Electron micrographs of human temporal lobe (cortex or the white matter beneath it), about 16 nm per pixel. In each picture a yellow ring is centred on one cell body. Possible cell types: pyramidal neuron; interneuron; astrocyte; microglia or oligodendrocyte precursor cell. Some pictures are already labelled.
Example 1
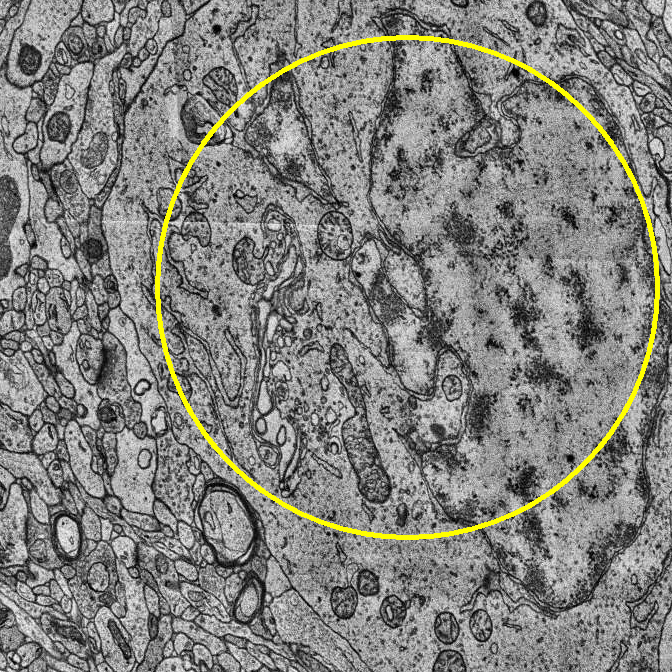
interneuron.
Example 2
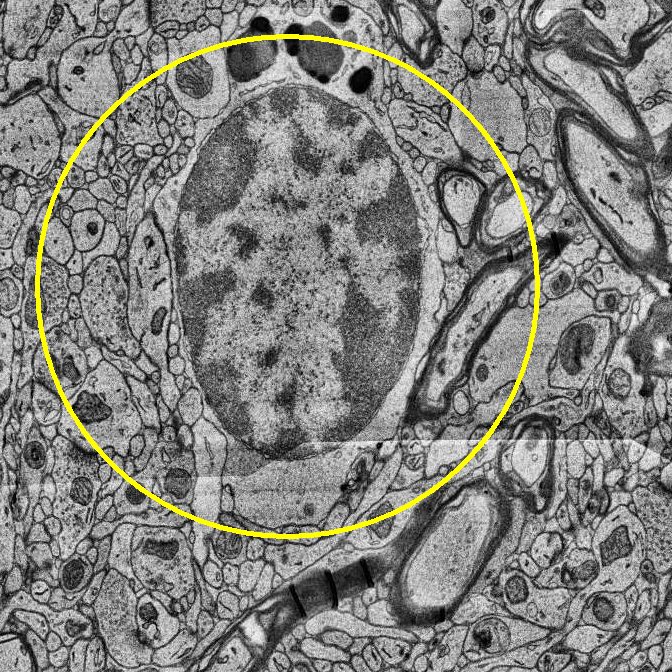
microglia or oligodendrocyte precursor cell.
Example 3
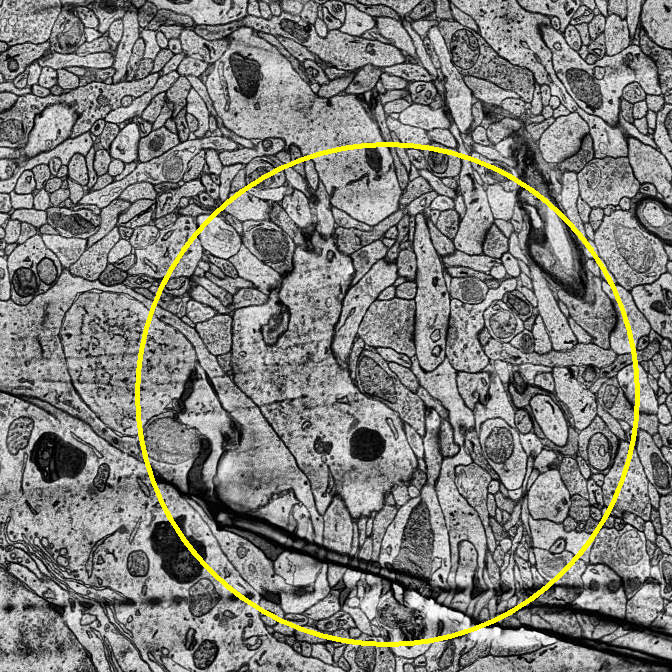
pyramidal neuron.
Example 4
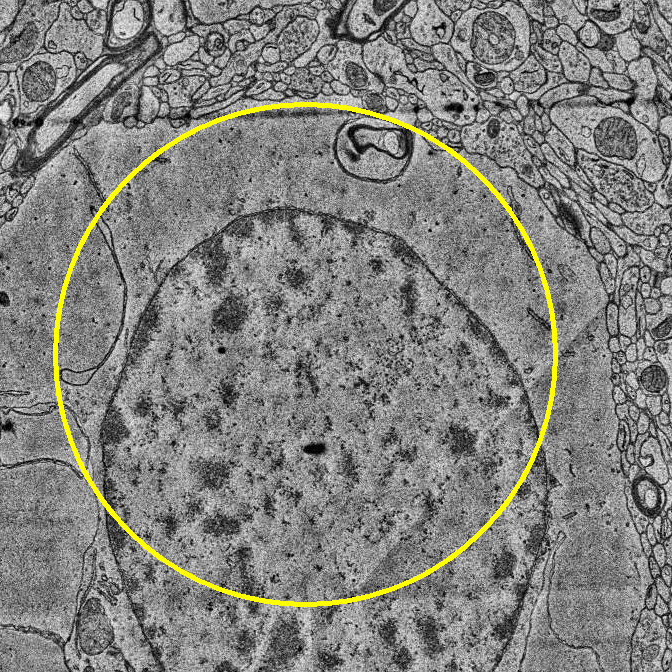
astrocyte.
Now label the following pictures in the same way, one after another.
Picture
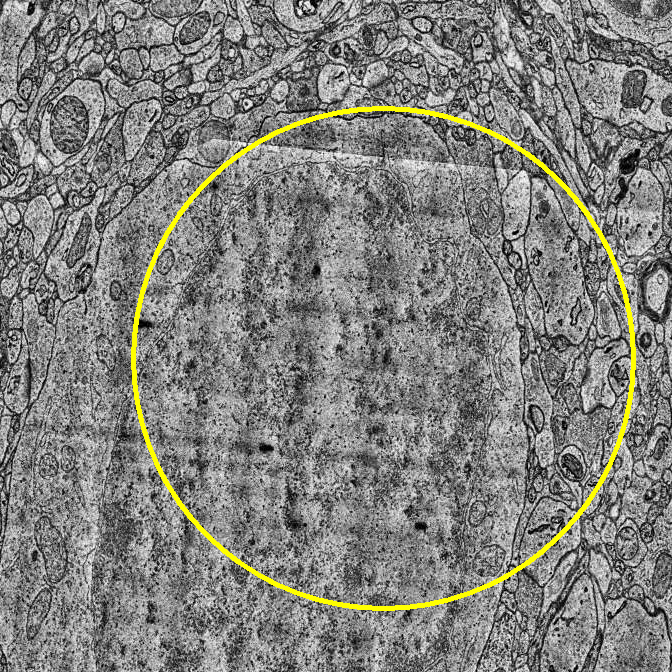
interneuron.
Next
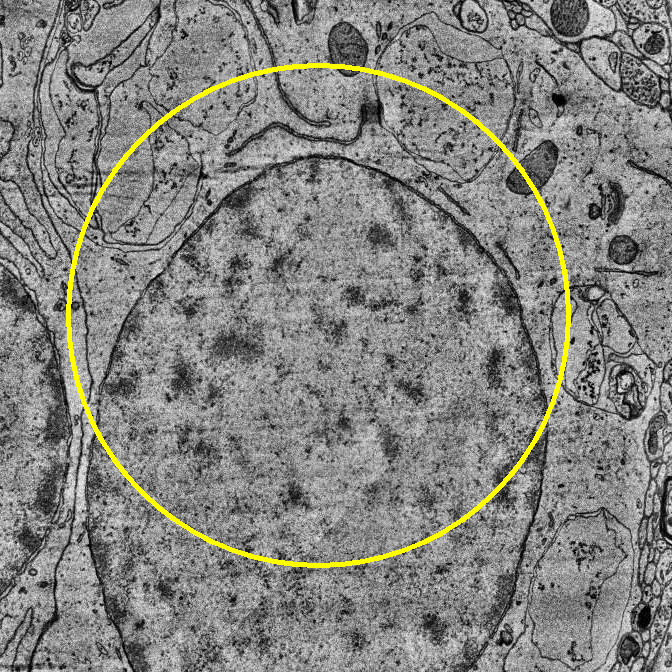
astrocyte.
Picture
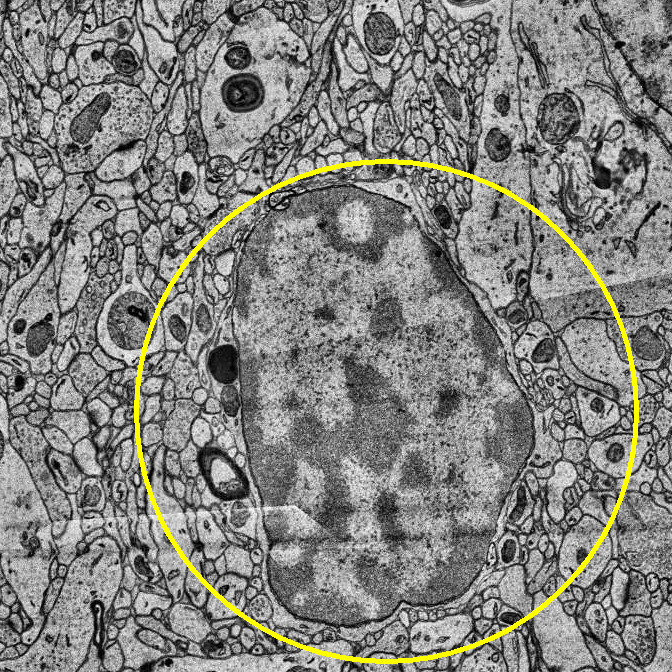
microglia or oligodendrocyte precursor cell.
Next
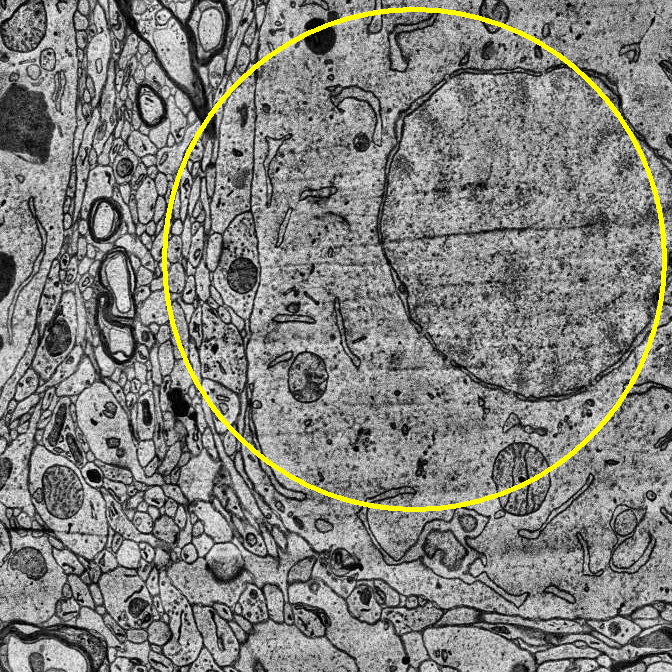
microglia or oligodendrocyte precursor cell.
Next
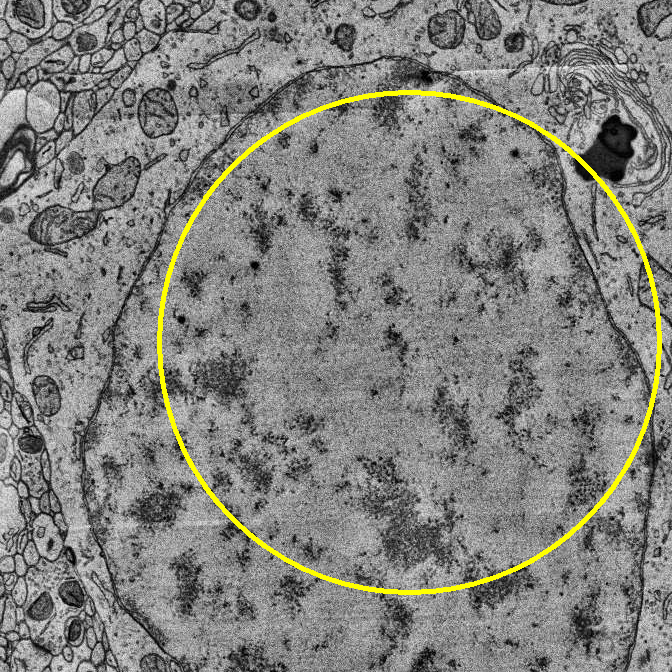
pyramidal neuron.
